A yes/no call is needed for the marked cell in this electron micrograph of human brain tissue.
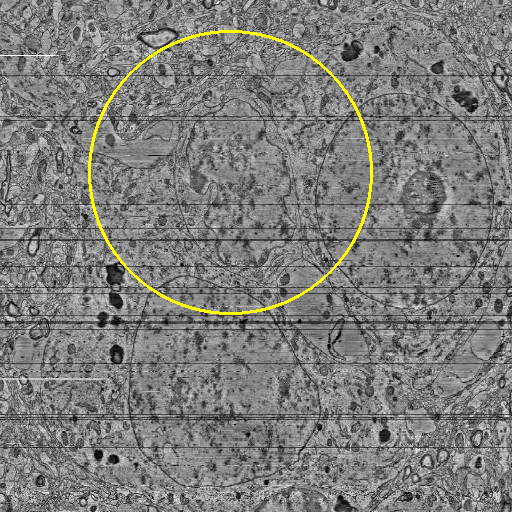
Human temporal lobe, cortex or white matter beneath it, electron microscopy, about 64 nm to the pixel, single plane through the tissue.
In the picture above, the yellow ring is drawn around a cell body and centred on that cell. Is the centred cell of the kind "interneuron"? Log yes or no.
yes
